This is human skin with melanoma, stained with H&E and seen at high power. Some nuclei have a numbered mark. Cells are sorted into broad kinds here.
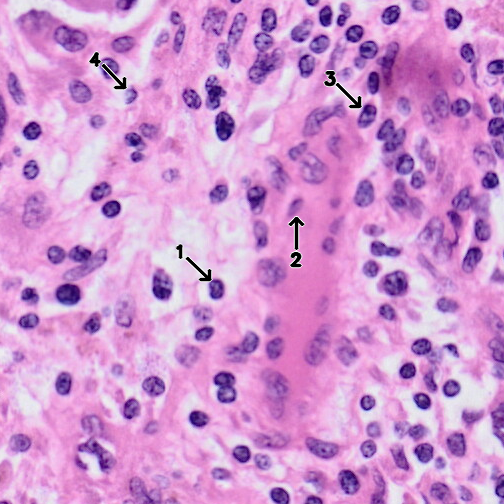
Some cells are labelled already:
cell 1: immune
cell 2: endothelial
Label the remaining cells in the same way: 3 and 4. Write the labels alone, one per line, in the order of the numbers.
immune
immune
